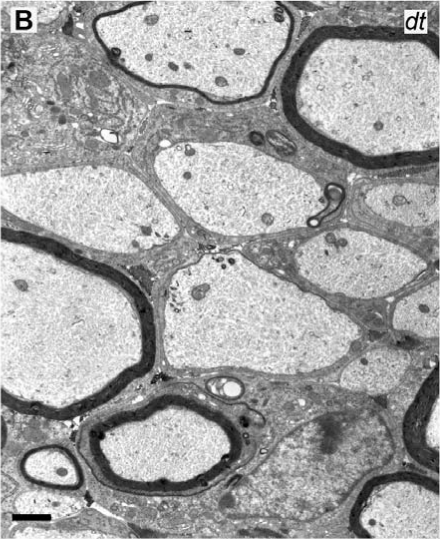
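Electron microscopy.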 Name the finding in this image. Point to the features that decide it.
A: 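Several large pale axon profiles have no dark ring around them. Other large axons are surrounded by only a thin dark sheath. Bare axons lie closely packed, separated by thin grey cytoplasm. That points to this answer: hypomyelinated and amyelinated axons.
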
